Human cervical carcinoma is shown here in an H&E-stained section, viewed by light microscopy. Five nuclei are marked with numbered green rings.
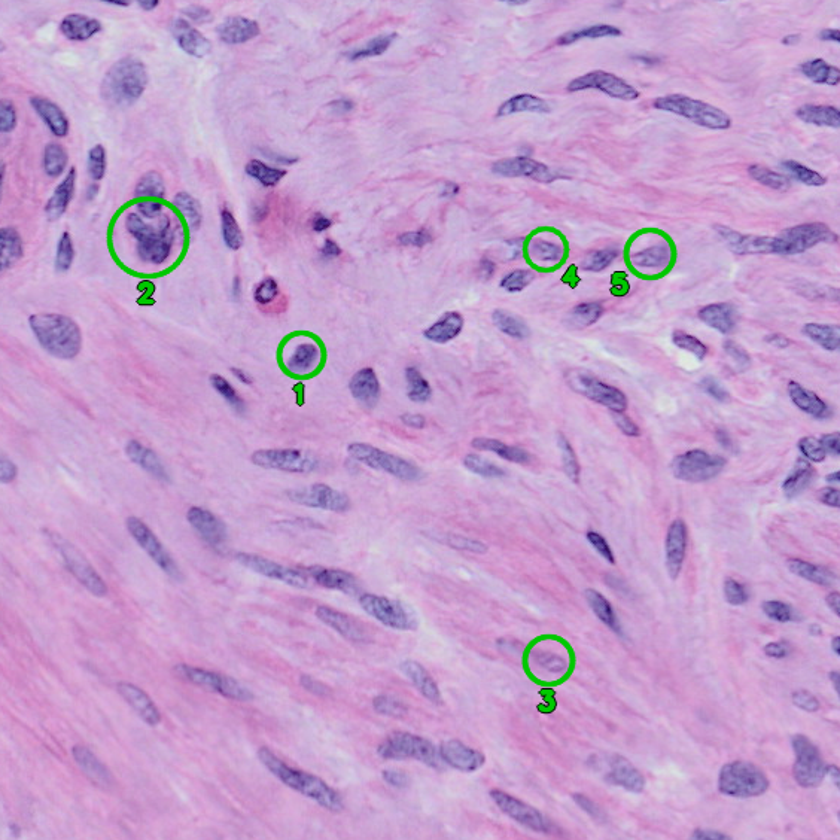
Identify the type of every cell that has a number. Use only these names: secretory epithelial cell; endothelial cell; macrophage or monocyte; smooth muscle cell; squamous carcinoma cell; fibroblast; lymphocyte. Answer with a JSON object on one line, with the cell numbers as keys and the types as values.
{"1": "fibroblast", "2": "endothelial cell", "3": "smooth muscle cell", "4": "smooth muscle cell", "5": "smooth muscle cell"}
